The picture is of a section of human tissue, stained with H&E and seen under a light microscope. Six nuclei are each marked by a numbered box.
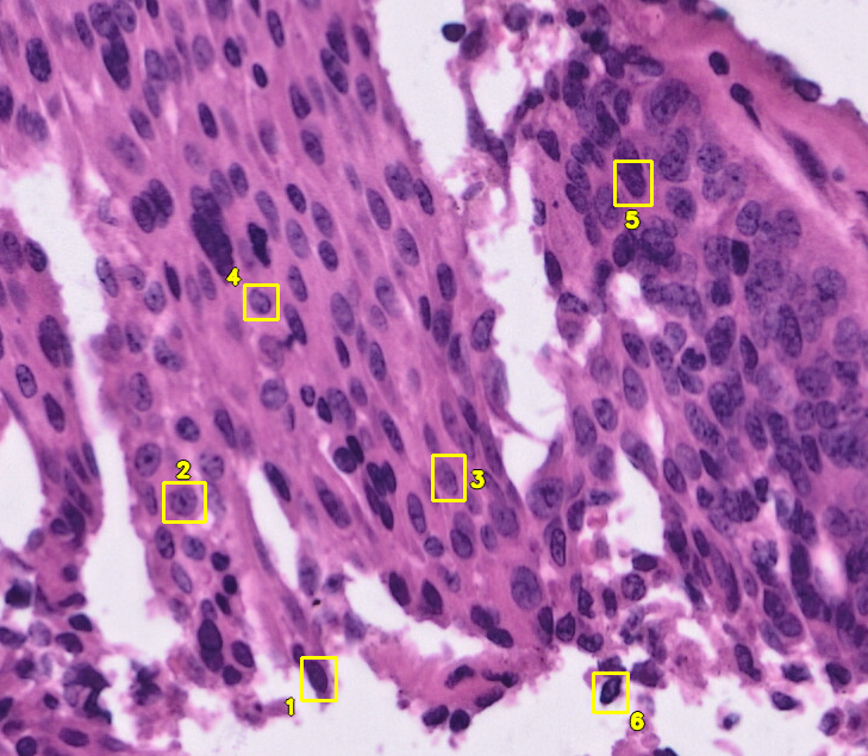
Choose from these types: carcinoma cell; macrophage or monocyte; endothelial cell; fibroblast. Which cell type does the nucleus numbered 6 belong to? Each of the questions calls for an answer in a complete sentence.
The correct label for cell 6 is a carcinoma cell.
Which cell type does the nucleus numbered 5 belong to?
The cell that goes by number 5 is a carcinoma cell.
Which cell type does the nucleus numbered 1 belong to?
What the number 1 marks in this field is a carcinoma cell.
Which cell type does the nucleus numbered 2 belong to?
Cell 2, among those numbered, is a macrophage or monocyte.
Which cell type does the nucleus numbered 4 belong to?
The one labeled 4 is a macrophage or monocyte, to put it simply.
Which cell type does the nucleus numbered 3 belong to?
The nucleus with number 3 is that of a carcinoma cell.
